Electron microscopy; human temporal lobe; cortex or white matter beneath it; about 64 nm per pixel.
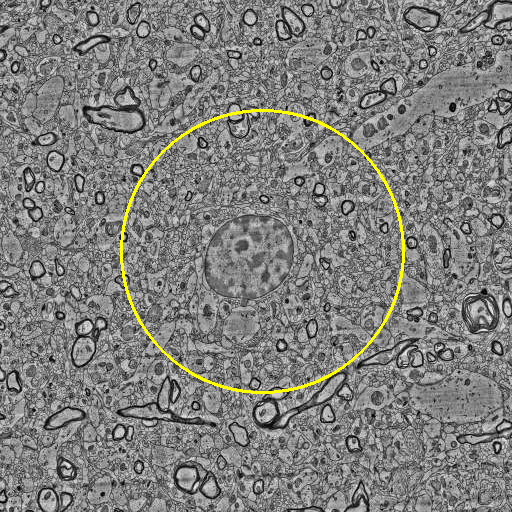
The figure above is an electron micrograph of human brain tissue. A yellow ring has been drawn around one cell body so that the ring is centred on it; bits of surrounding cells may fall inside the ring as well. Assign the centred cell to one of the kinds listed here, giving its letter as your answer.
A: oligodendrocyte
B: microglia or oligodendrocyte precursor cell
B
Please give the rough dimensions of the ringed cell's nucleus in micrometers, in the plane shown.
About 6 by 5 micrometres in this plane.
